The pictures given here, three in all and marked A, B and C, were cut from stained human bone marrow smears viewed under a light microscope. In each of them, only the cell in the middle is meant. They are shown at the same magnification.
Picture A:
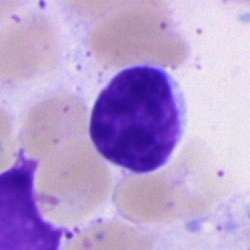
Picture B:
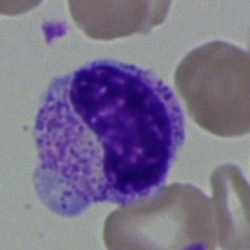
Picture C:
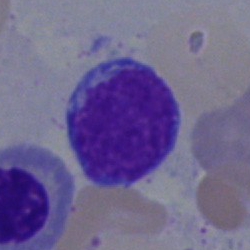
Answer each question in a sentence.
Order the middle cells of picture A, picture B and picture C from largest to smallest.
Going down, they run B, C, A.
